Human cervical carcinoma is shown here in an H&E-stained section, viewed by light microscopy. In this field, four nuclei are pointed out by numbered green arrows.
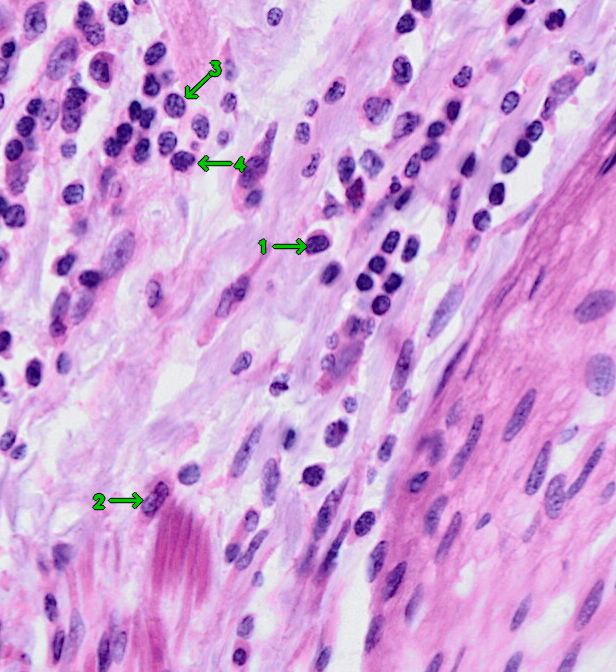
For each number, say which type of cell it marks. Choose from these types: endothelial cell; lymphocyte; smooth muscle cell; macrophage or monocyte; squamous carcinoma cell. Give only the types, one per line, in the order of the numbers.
lymphocyte
macrophage or monocyte
lymphocyte
lymphocyte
